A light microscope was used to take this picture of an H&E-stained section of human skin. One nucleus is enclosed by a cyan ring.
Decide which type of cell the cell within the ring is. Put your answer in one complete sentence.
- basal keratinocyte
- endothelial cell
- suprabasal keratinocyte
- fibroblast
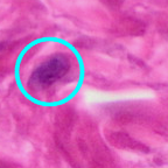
The identity of the cell within the ring is that of a fibroblast.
